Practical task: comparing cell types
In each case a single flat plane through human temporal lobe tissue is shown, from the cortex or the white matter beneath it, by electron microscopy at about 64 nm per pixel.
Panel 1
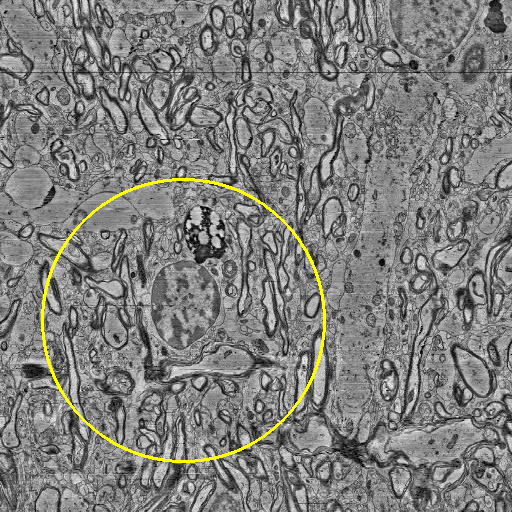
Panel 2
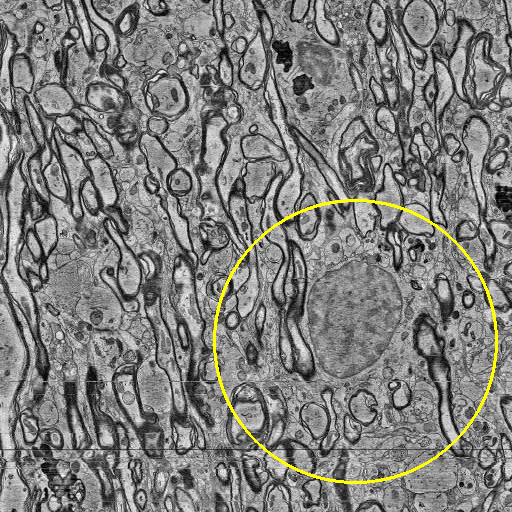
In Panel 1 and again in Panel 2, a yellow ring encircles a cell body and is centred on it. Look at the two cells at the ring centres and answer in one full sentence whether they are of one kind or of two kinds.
The two cells sitting at the ring centres of Panels 1 and 2 are of two kinds.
